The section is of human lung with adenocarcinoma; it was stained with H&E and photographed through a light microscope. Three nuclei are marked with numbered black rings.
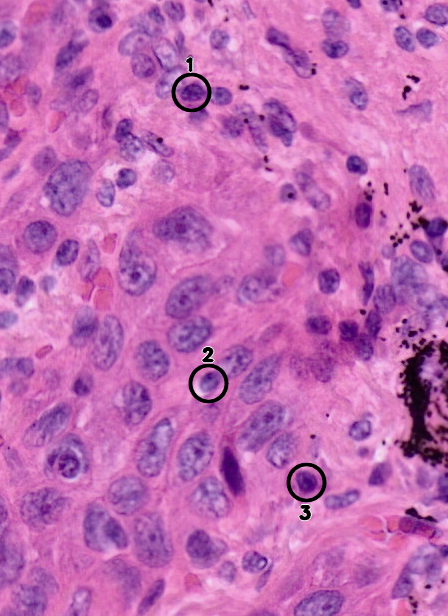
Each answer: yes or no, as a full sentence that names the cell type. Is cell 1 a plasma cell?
Yes, the cell carrying number 1 is a plasma cell.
